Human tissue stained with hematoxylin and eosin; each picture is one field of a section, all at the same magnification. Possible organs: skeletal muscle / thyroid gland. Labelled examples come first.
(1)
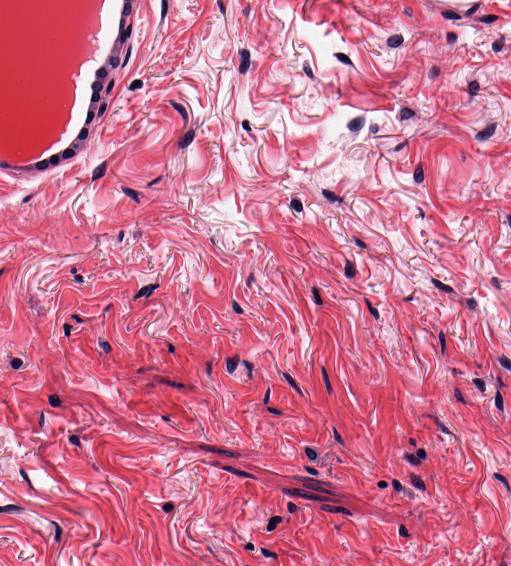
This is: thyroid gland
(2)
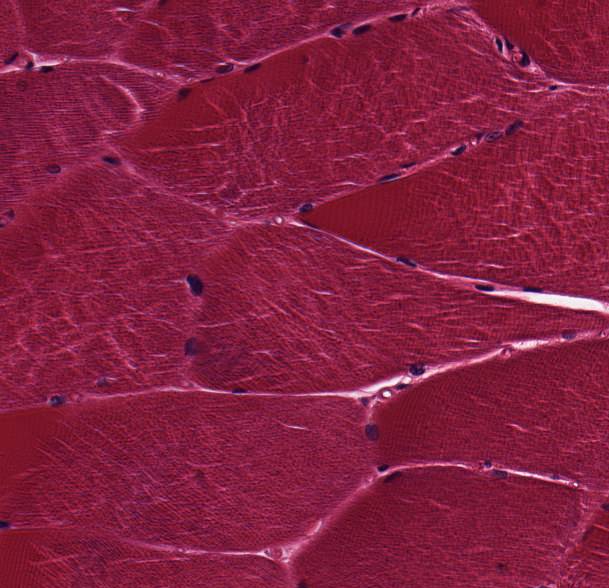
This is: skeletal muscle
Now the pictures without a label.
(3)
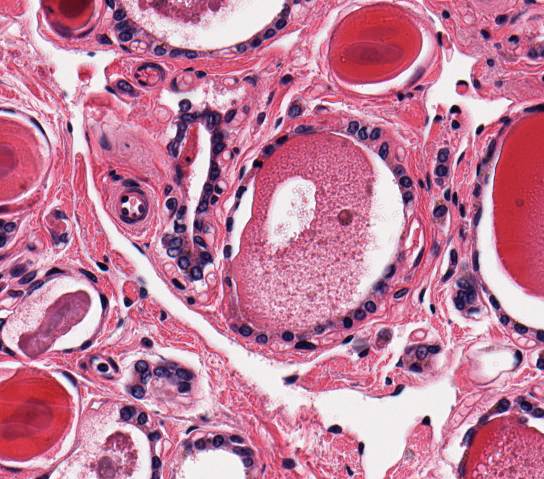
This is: thyroid gland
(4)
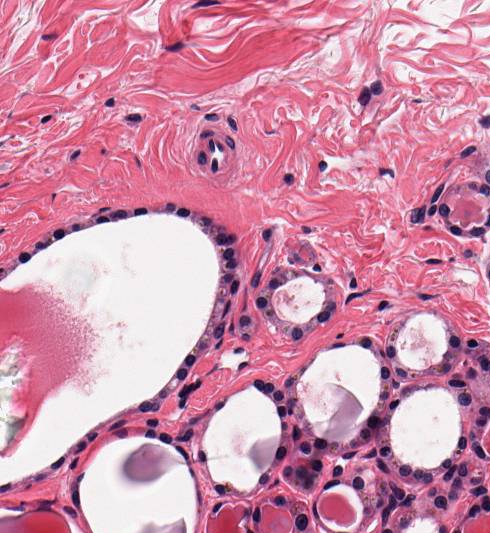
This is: thyroid gland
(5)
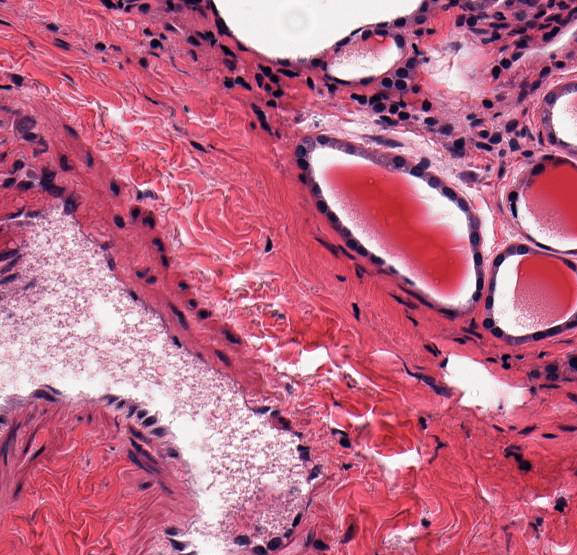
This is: thyroid gland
